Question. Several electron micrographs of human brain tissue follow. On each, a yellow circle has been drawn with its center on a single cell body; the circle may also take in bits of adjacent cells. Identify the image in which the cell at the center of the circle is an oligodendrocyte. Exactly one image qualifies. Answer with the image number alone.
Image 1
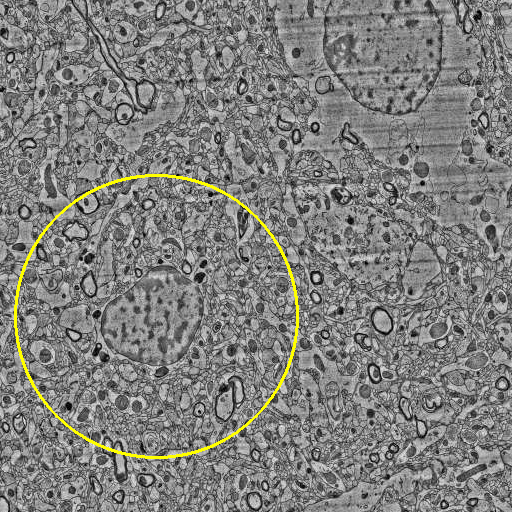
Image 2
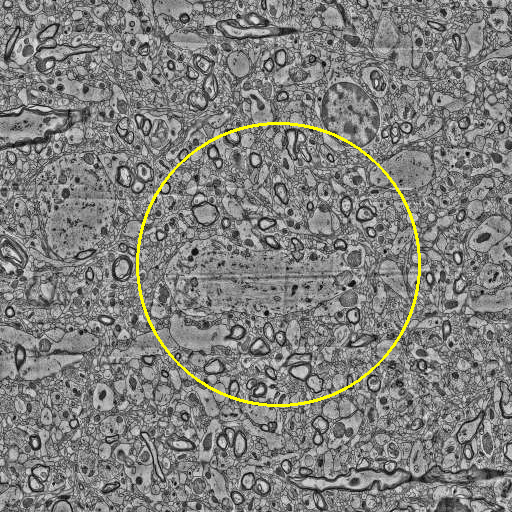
2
